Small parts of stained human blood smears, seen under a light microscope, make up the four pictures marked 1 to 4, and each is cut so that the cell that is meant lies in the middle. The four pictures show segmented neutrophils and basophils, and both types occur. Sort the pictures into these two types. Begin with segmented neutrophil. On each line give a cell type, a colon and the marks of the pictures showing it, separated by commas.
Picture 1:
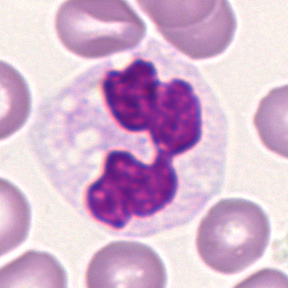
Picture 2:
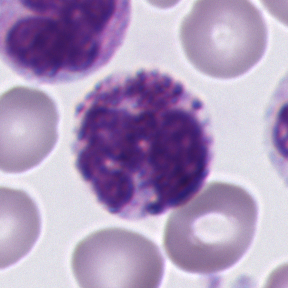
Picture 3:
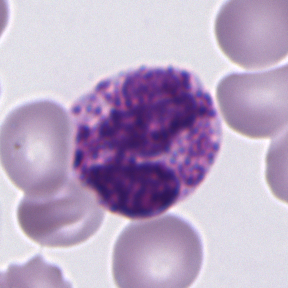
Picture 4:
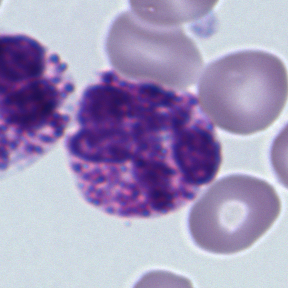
segmented neutrophil: 1
basophil: 2, 3, 4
